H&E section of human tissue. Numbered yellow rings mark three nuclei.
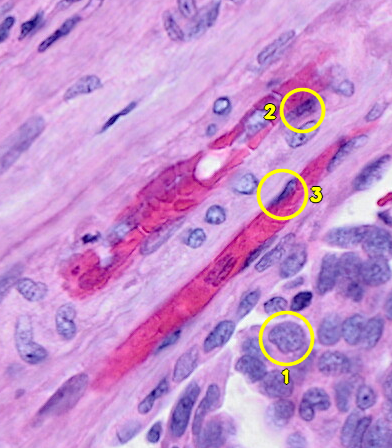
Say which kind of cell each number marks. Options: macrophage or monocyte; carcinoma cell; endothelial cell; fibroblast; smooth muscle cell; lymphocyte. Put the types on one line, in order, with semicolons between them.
carcinoma cell; endothelial cell; endothelial cell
